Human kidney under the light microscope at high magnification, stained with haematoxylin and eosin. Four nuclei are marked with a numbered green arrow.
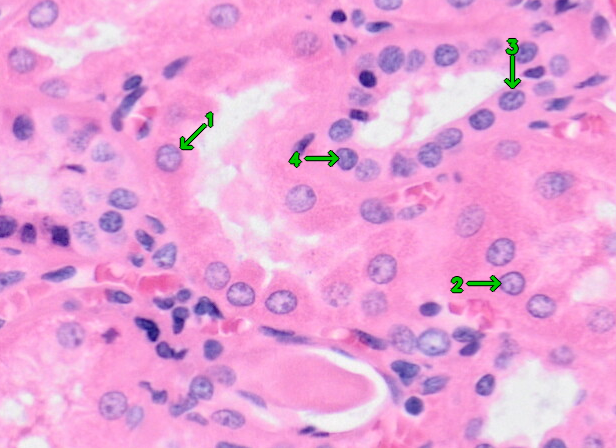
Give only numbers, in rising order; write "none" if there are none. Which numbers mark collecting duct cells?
3, 4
